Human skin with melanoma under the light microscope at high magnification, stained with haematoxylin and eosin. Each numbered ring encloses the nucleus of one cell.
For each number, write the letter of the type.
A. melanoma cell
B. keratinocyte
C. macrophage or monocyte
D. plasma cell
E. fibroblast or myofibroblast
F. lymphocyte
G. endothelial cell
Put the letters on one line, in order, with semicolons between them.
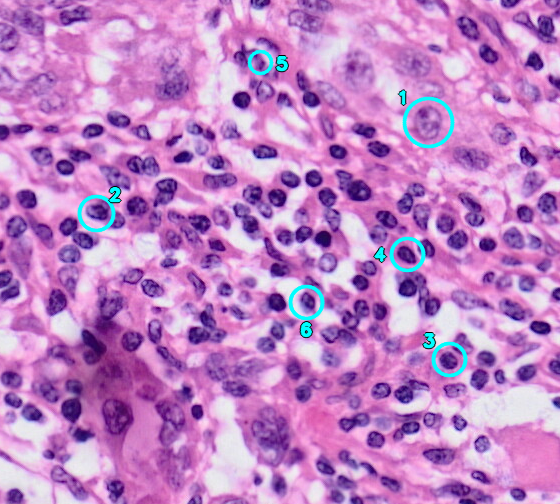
A; F; F; D; G; F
